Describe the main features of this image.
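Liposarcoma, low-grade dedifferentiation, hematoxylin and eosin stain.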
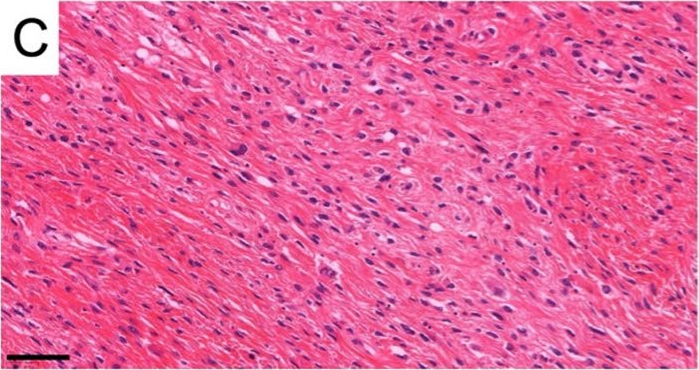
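This is a spindle cell tumor with dense proliferation of spindle cells arranged in a fascicular pattern. The cells are elongated and run in parallel bundles within an intensely pink collagenous background. Their nuclei are oval to elongated, fairly uniform, and only mildly atypical. Occasional small clear vacuoles are scattered in the stroma. No fat-dominated areas are present in the field.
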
